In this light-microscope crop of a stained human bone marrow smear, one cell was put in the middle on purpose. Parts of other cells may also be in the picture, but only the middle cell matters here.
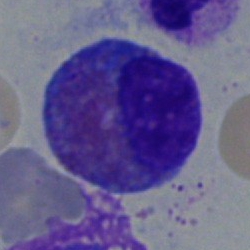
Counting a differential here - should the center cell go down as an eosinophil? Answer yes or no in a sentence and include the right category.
Yes, in the centre of this field sits an eosinophil.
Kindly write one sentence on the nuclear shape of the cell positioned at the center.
Between us, the nucleus here is just one compact mass, round, oval or kidney-shaped.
